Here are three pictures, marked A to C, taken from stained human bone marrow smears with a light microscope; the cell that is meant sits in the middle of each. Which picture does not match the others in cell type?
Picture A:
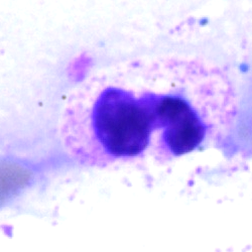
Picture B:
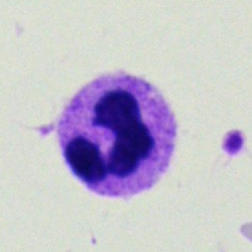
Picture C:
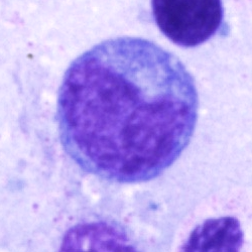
C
